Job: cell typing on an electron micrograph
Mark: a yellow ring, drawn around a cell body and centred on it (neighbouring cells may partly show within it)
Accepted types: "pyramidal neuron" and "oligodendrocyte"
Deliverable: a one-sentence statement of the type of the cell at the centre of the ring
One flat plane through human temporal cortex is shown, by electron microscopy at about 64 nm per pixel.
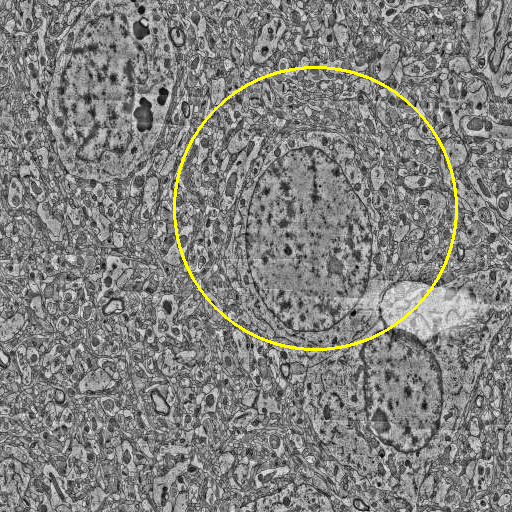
The centred cell body is that of a pyramidal neuron.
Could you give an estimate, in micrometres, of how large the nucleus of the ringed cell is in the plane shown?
The nucleus comes to roughly 12 by 8 micrometres in this plane.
